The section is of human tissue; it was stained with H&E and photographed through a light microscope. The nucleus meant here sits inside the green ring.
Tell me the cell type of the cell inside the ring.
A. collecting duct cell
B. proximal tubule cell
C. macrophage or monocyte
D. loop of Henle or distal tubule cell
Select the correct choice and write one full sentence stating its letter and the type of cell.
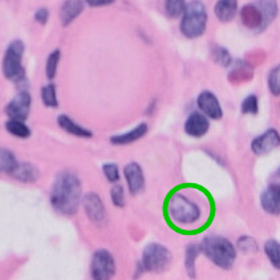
Hey, it is option A: the cell inside the ring is a collecting duct cell.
